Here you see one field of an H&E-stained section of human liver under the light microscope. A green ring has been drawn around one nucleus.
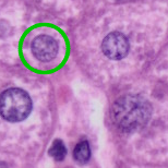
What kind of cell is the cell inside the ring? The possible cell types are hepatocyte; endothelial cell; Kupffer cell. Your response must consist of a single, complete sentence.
Within this tissue, the cell inside the ring is a hepatocyte.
